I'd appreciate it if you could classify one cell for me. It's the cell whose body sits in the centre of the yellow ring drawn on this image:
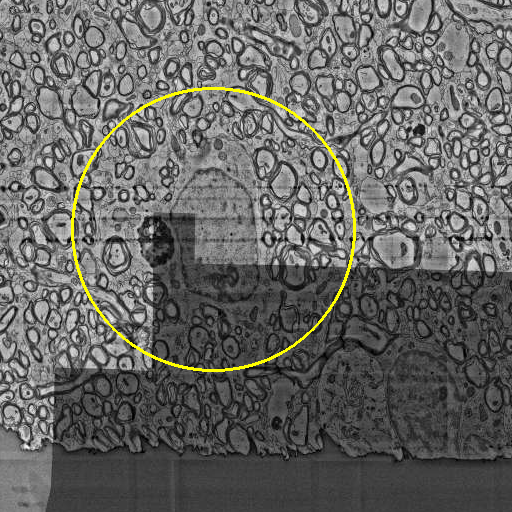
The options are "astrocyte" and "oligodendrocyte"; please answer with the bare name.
astrocyte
